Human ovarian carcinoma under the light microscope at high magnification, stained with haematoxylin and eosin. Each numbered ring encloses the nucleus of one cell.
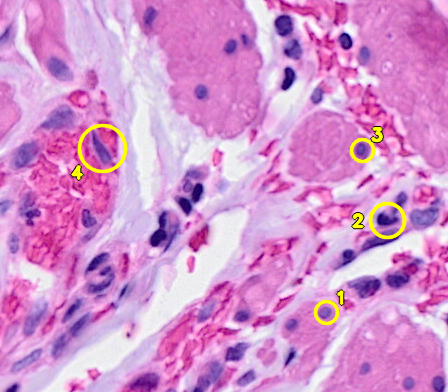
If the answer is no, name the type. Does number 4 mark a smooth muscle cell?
No, it is an endothelial cell.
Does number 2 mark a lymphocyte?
Yes.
